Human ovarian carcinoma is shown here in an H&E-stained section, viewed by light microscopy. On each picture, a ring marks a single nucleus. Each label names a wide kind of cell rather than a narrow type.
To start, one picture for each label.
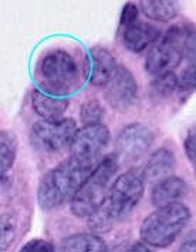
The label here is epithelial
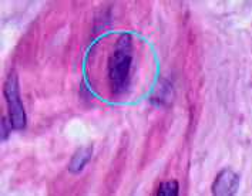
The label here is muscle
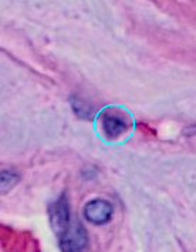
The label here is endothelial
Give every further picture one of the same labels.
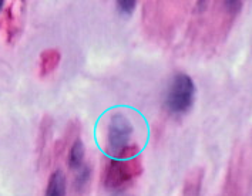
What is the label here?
endothelial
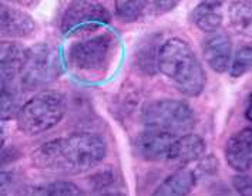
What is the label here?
epithelial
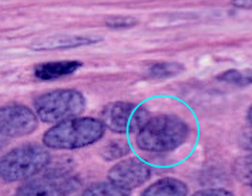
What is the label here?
epithelial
